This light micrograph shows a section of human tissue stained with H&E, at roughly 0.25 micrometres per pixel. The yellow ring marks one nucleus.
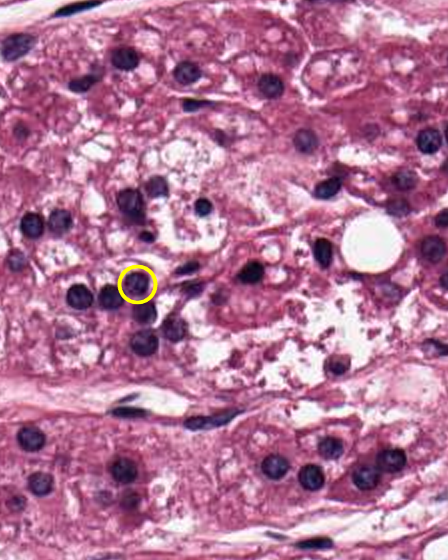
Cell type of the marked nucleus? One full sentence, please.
The nucleus marked in the section is that of an adrenal cortical cell.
